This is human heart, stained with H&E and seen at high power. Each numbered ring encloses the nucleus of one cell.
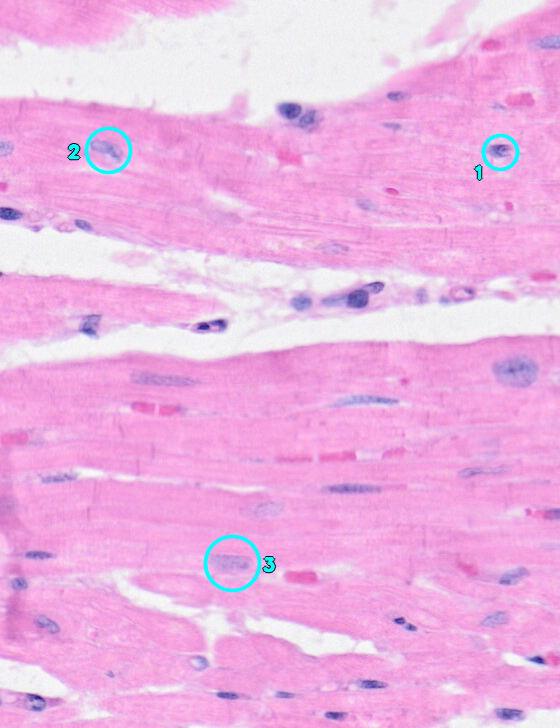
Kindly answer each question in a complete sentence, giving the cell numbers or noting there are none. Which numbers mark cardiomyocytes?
The cells that have been numbered 2 and 3 are cardiomyocytes.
